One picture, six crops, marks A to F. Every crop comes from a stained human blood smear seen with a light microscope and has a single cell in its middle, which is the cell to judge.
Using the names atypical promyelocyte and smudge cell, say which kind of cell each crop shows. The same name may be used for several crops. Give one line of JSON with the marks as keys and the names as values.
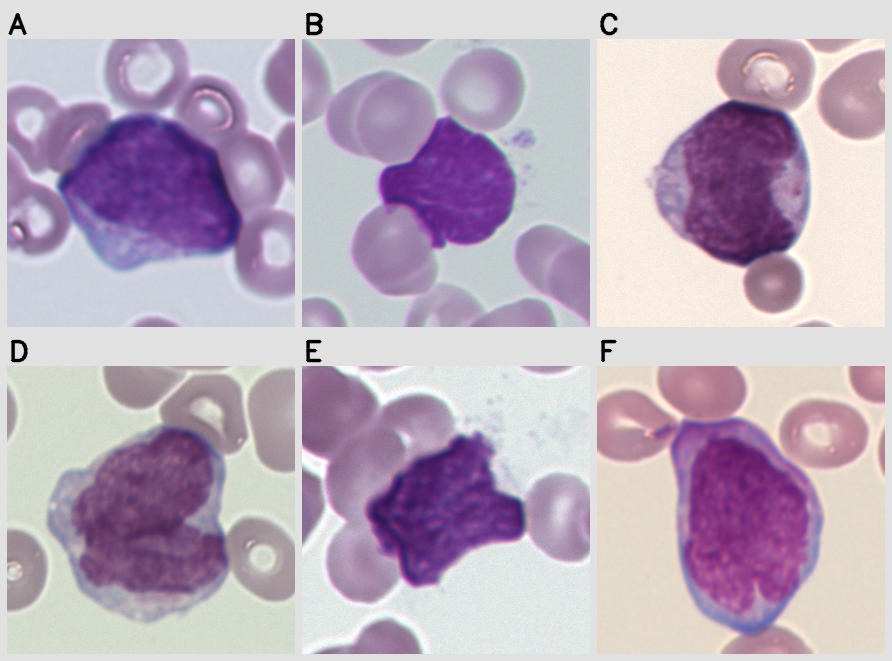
{"A": "atypical promyelocyte", "B": "smudge cell", "C": "atypical promyelocyte", "D": "atypical promyelocyte", "E": "smudge cell", "F": "atypical promyelocyte"}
